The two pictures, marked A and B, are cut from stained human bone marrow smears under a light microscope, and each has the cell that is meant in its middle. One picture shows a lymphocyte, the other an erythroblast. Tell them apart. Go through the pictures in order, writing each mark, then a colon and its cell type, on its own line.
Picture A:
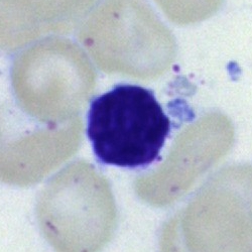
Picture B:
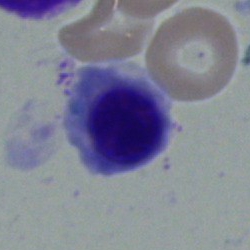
A: lymphocyte
B: erythroblast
